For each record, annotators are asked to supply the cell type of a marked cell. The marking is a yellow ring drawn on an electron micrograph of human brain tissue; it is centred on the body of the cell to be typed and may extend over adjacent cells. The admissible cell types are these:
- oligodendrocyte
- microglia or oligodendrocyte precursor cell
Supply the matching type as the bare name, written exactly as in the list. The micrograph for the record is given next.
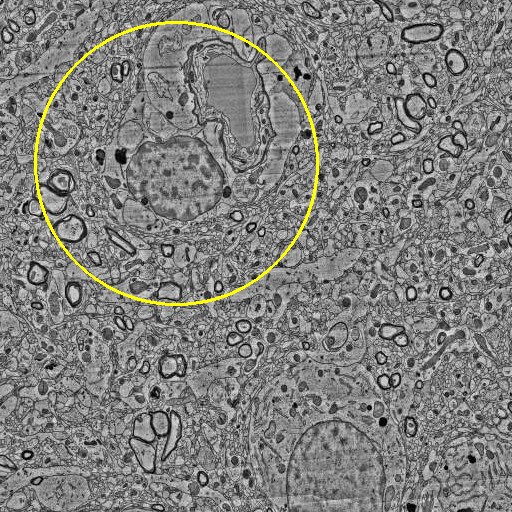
microglia or oligodendrocyte precursor cell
